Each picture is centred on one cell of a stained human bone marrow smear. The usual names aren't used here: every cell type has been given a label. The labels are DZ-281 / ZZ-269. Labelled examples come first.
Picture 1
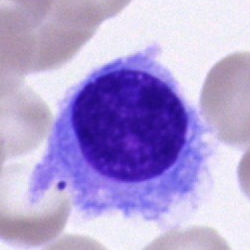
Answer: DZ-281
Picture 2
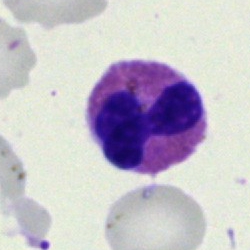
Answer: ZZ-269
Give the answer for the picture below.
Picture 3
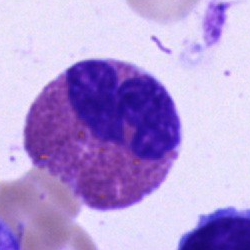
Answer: ZZ-269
